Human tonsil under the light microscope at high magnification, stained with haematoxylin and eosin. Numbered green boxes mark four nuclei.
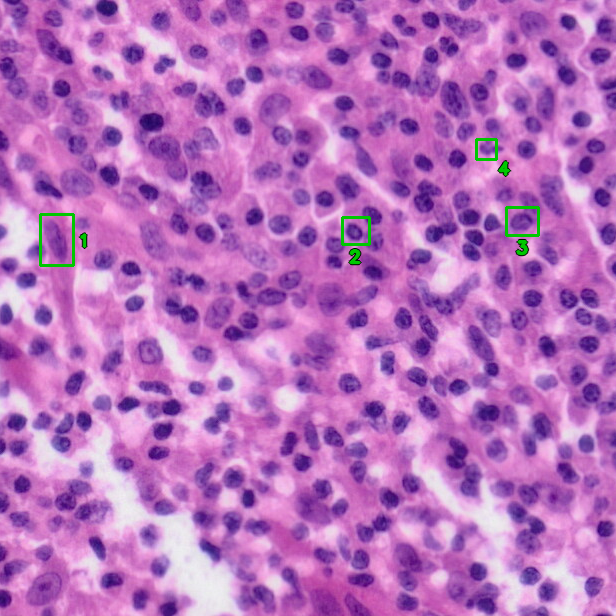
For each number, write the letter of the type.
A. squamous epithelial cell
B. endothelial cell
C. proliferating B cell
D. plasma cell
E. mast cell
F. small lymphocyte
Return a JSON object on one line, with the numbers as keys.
{"1": "A", "2": "D", "3": "D", "4": "D"}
